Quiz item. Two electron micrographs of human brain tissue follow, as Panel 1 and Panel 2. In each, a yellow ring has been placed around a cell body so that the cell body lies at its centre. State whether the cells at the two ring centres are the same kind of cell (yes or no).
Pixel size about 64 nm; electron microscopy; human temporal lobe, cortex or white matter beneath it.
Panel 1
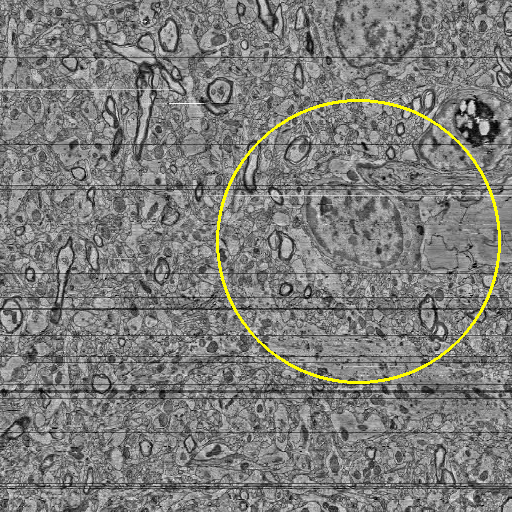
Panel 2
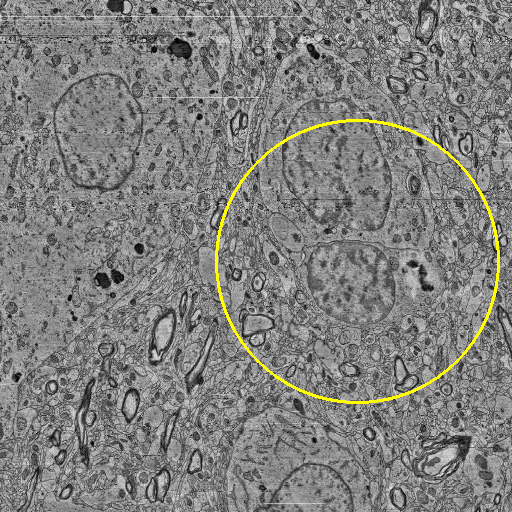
yes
